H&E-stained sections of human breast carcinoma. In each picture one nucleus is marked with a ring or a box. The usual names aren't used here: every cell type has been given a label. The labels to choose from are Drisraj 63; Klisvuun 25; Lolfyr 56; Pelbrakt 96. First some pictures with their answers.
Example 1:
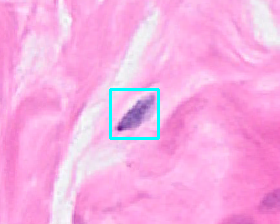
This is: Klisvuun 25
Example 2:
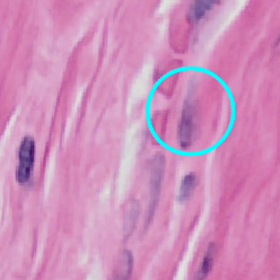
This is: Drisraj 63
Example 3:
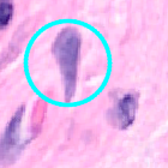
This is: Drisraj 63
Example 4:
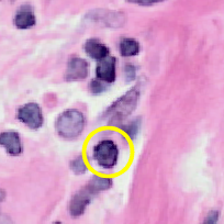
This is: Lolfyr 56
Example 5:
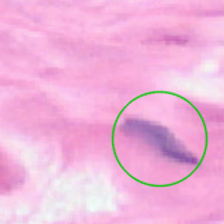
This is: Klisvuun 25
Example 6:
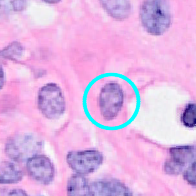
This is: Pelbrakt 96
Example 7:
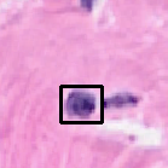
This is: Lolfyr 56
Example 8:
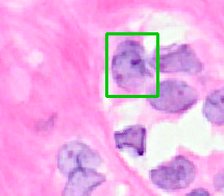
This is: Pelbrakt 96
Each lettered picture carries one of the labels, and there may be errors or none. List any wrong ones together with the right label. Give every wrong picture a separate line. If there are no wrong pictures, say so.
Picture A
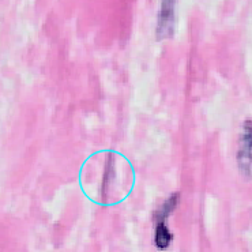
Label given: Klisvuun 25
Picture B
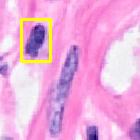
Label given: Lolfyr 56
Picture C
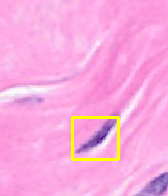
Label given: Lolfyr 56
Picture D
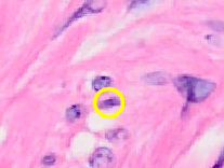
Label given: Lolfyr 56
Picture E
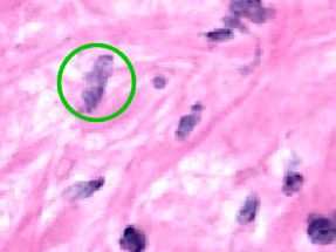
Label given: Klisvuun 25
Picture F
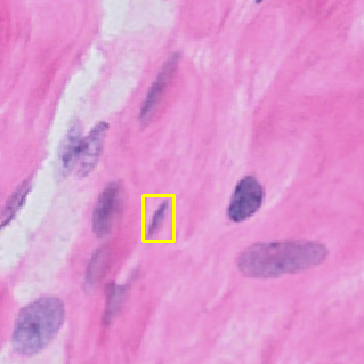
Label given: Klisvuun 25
Wrong: C (Lolfyr 56); correct: Klisvuun 25
Wrong: D (Lolfyr 56); correct: Drisraj 63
